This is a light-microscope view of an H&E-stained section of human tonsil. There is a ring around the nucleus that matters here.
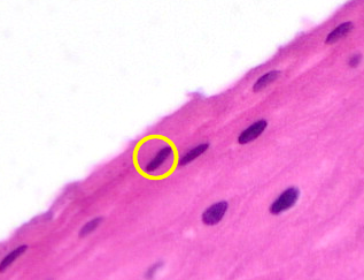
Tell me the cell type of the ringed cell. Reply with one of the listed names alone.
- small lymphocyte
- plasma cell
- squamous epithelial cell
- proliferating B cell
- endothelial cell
squamous epithelial cell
